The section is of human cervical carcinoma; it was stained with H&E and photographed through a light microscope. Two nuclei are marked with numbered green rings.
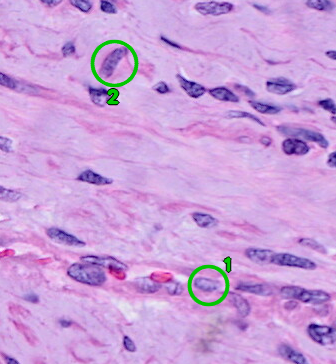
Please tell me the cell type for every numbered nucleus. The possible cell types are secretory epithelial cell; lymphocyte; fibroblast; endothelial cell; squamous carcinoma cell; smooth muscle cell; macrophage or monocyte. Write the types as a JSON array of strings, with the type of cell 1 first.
["endothelial cell", "smooth muscle cell"]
